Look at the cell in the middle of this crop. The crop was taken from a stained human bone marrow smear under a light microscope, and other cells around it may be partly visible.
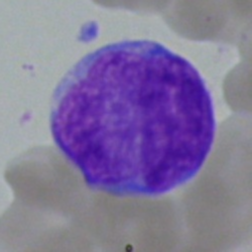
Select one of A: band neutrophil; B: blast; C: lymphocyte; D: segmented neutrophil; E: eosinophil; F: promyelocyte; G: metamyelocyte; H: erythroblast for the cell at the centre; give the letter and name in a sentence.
Correctly, option B names the cell in the middle a blast.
